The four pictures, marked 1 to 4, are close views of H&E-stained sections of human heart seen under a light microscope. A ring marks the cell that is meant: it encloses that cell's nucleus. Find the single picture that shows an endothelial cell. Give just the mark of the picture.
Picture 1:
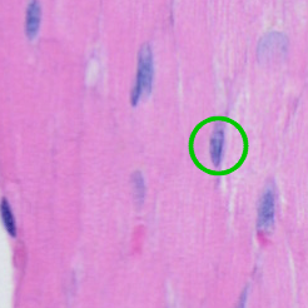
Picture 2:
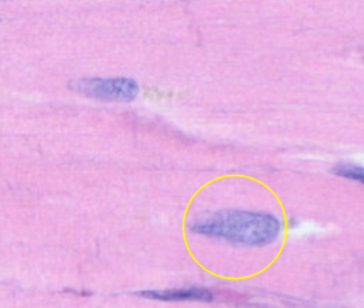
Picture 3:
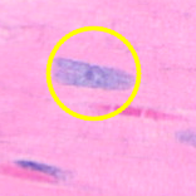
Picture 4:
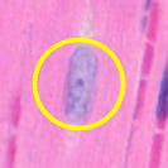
1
